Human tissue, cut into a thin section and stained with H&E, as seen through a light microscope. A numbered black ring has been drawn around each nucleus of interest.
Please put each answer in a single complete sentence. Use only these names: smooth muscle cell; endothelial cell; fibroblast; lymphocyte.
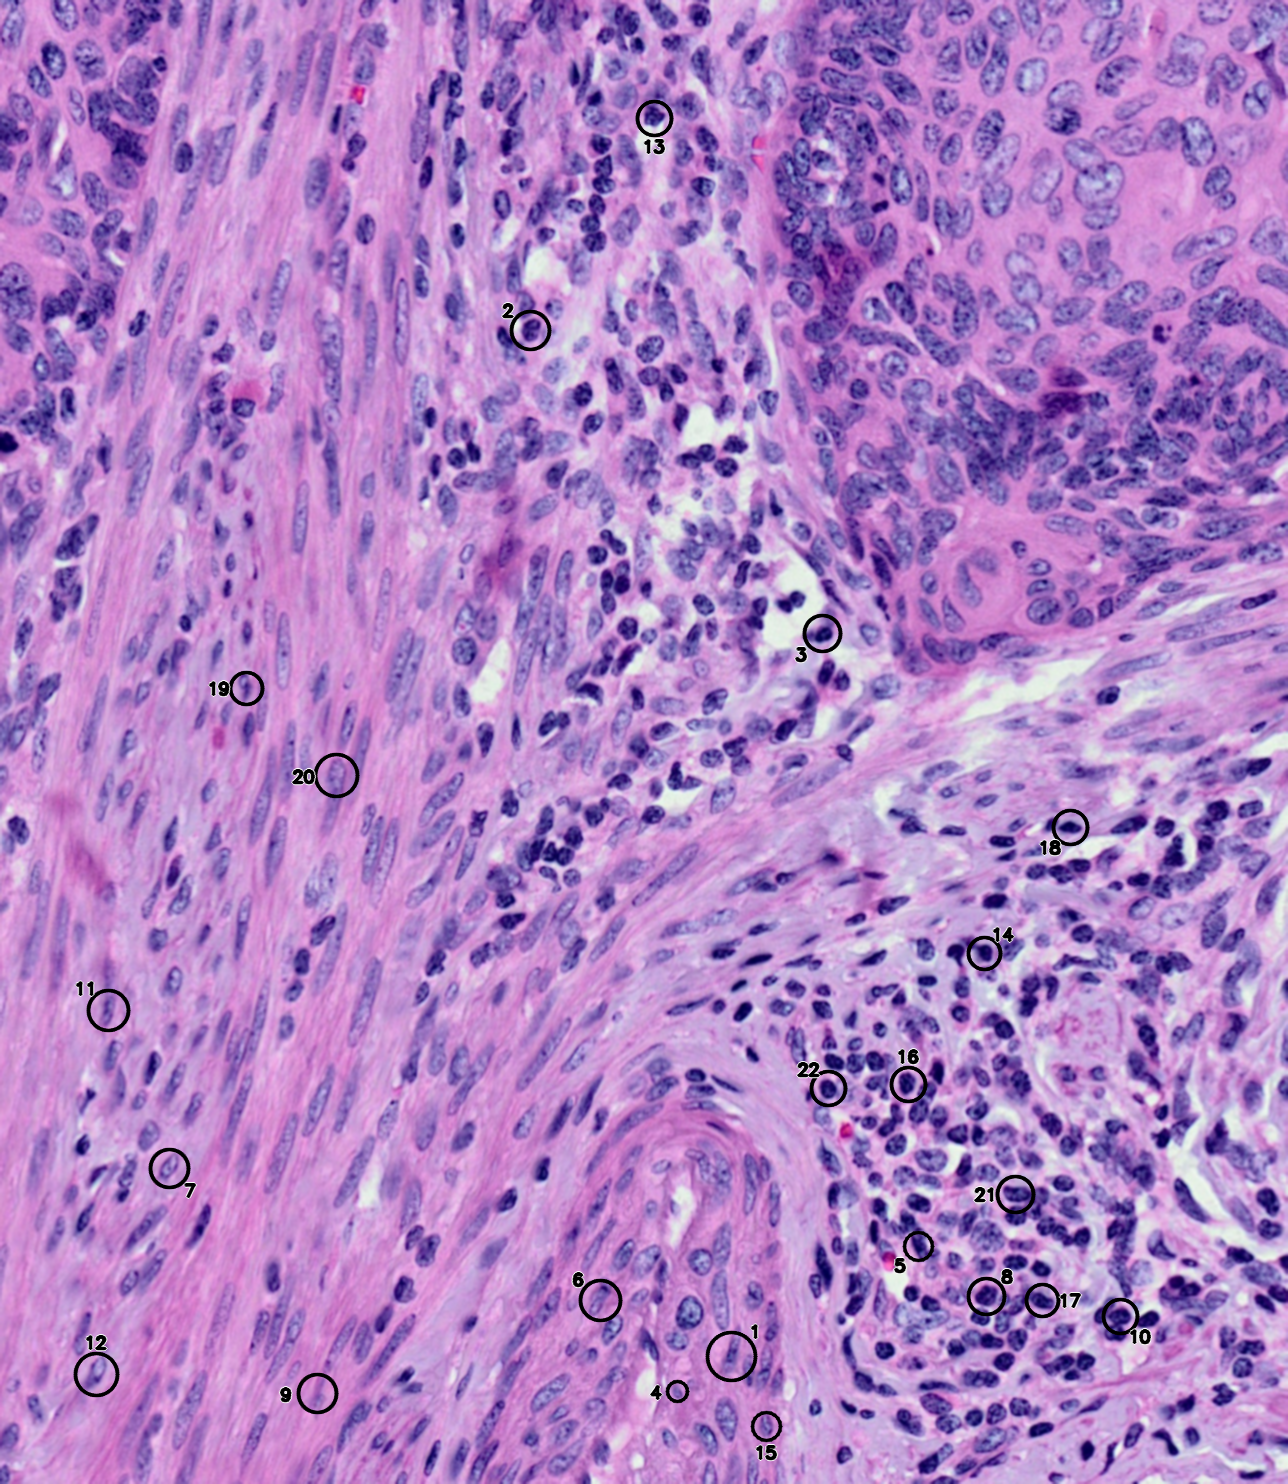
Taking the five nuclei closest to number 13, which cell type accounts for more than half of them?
Fibroblasts make up most of the five nuclei closest to number 13.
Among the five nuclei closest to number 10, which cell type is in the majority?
Lymphocytes account for more than half of the five nuclei nearest to number 10.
